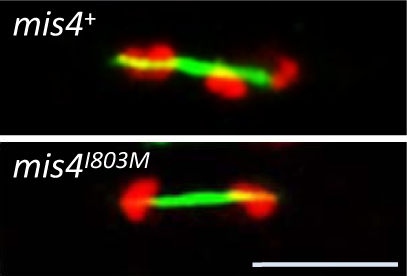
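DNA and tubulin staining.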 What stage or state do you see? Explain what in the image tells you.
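Anaphase. In each image a long, thin green bar stretches across the cell. Red masses sit at both ends of each green bar.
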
